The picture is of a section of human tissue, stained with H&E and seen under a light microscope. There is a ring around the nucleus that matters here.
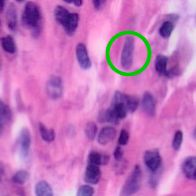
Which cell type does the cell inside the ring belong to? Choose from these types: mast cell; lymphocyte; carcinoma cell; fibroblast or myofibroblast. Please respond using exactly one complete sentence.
With respect to cell type, the cell inside the ring is a mast cell.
